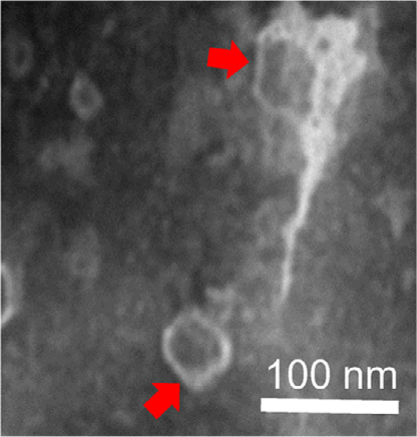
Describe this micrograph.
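On a mottled grey background lie a few small, round to slightly polygonal bodies, each outlined by a thin bright rim around a darker, flattened centre. Judged against the scale bar, they are well under a hundred nanometres across.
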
